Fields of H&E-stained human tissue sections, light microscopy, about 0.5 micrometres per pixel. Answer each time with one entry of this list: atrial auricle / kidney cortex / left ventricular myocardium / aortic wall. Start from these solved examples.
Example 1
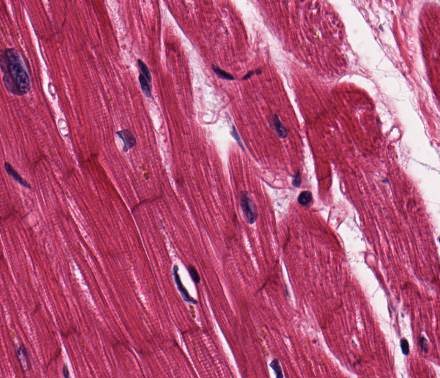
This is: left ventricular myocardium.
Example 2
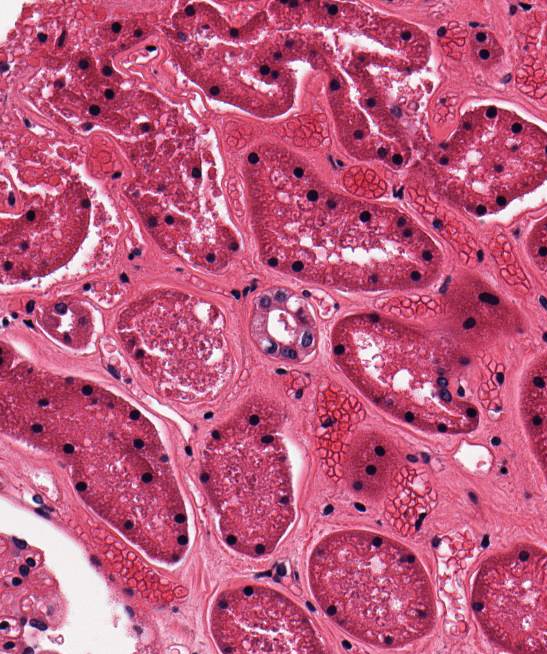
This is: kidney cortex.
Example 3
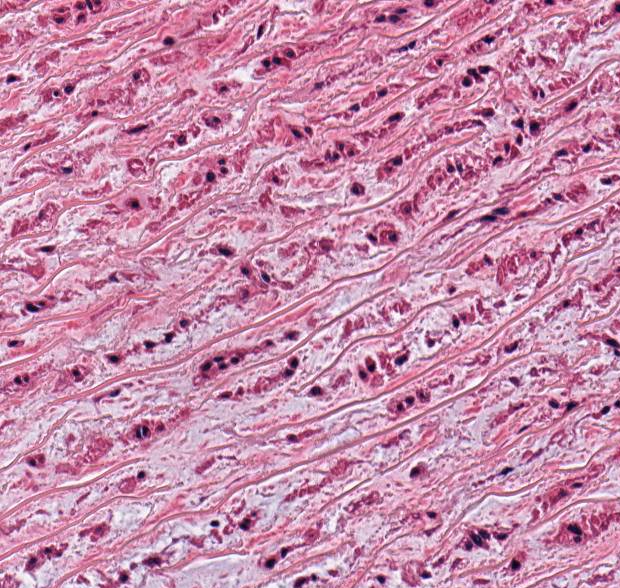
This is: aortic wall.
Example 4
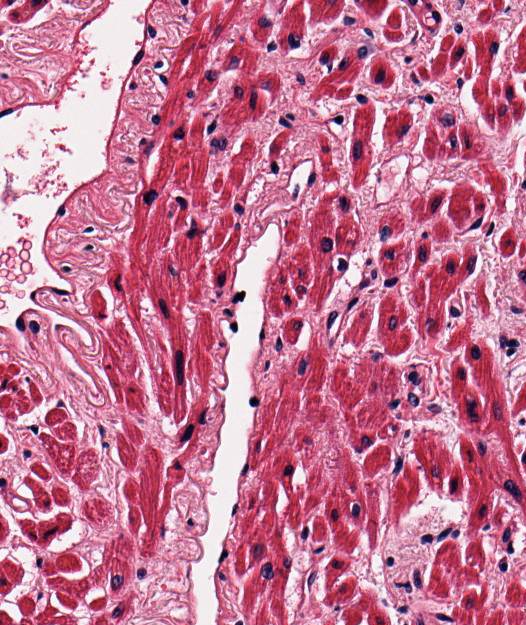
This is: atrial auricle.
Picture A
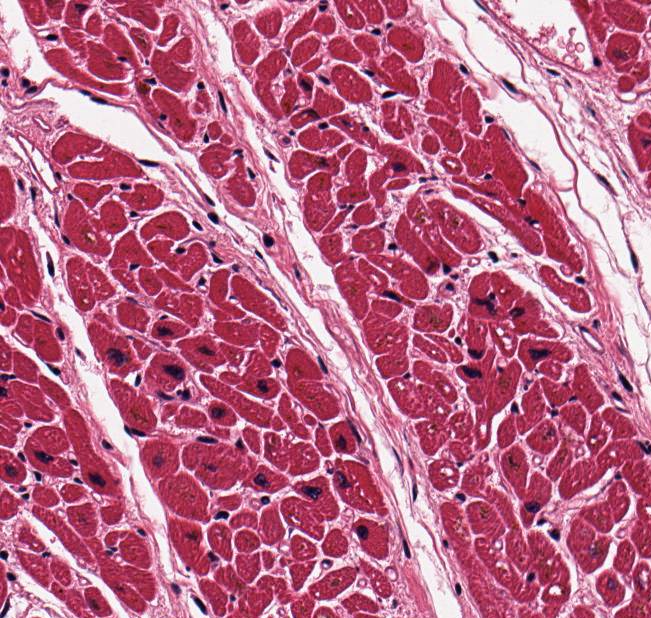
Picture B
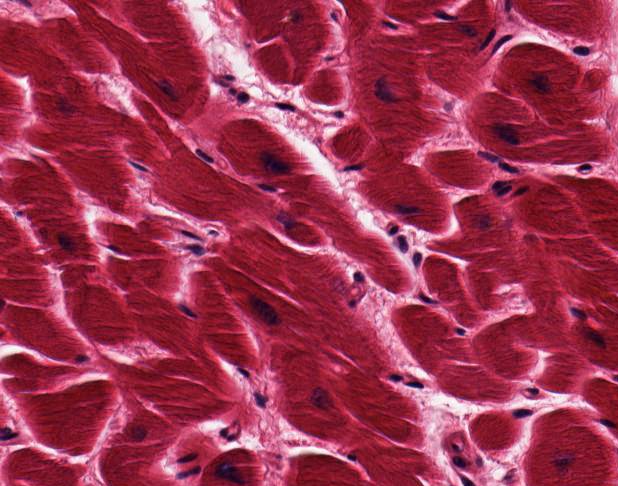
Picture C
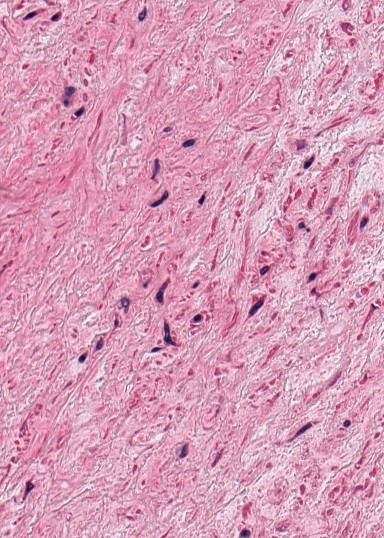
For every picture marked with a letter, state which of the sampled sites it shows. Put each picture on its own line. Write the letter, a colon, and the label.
A: left ventricular myocardium.
B: left ventricular myocardium.
C: aortic wall.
